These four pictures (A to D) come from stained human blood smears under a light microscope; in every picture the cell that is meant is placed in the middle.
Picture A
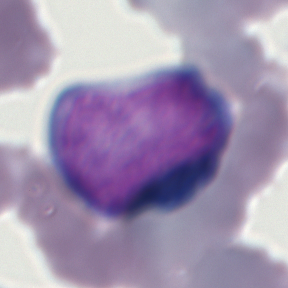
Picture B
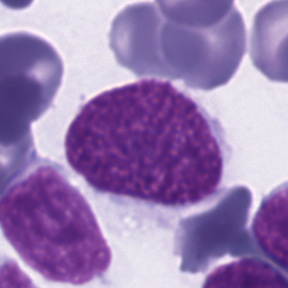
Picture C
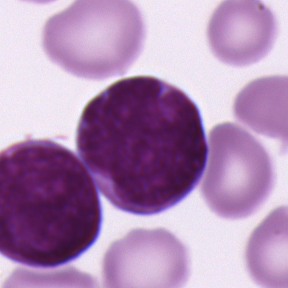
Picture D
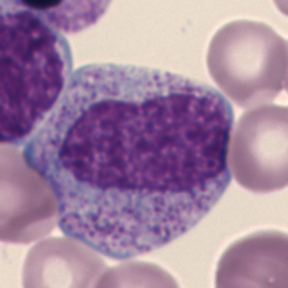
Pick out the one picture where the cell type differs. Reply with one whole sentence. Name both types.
All pictures except D show myeloblasts; picture D shows a promyelocyte.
